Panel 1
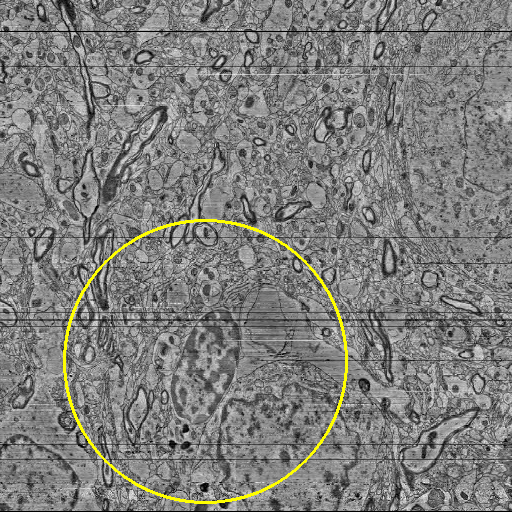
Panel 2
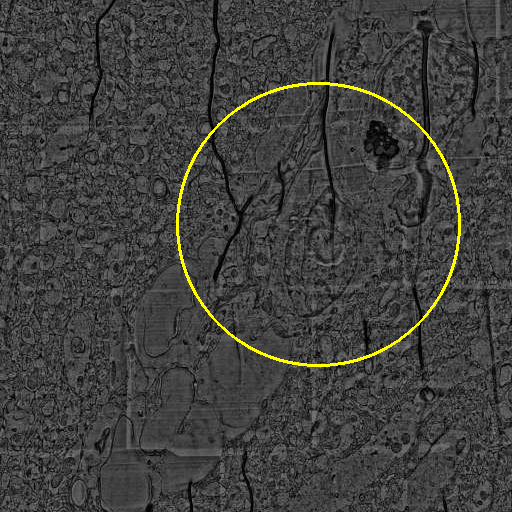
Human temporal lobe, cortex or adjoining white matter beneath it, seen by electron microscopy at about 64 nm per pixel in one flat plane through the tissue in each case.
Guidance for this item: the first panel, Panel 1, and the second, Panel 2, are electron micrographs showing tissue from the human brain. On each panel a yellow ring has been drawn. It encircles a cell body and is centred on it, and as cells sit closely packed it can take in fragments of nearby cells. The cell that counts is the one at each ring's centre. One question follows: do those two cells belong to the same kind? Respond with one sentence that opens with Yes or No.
Yes, the cells at the ring centres in Panel 1 and Panel 2 are of one kind.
